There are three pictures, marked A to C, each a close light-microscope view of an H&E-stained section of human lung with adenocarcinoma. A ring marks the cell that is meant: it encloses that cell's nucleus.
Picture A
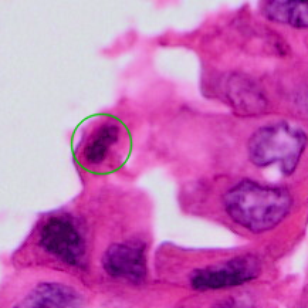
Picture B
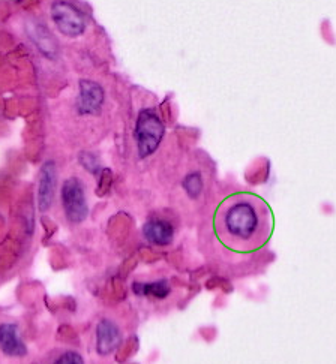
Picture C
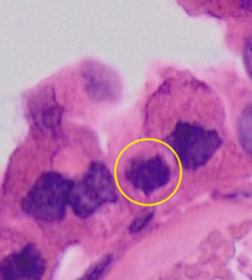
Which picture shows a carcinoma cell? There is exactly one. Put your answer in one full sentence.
Picture C shows the carcinoma cell.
